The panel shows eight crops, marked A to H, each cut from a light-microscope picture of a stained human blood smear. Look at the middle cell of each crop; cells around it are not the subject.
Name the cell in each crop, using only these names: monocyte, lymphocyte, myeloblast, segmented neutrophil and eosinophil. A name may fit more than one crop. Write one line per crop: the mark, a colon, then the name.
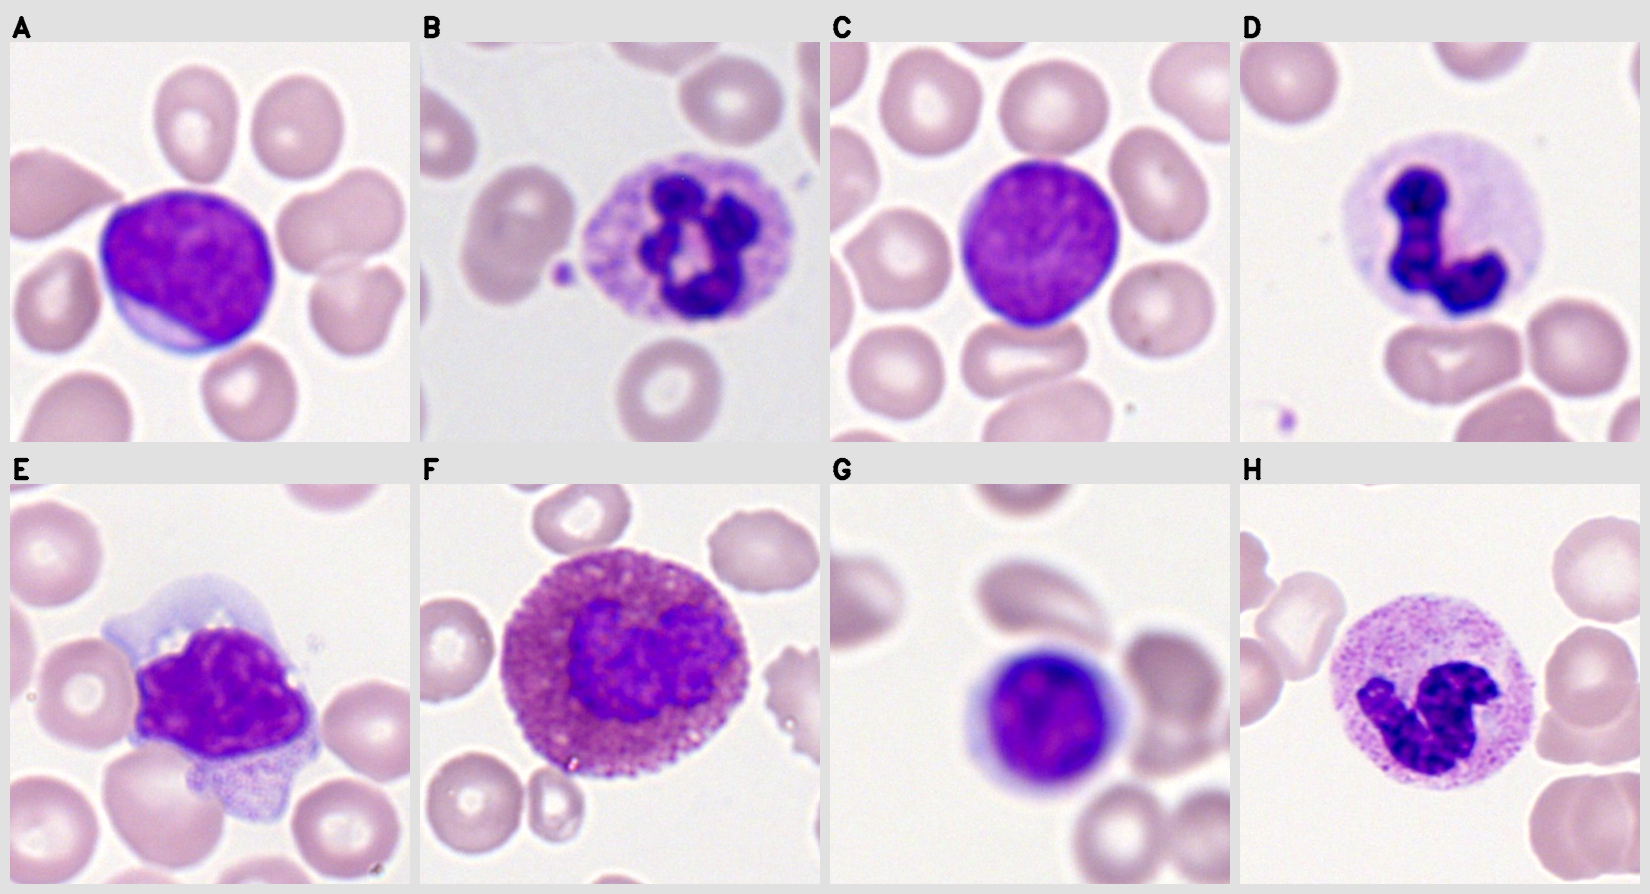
A: myeloblast
B: segmented neutrophil
C: myeloblast
D: segmented neutrophil
E: monocyte
F: eosinophil
G: lymphocyte
H: segmented neutrophil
